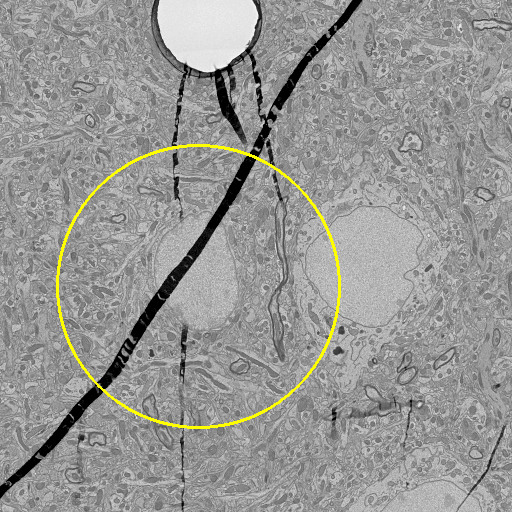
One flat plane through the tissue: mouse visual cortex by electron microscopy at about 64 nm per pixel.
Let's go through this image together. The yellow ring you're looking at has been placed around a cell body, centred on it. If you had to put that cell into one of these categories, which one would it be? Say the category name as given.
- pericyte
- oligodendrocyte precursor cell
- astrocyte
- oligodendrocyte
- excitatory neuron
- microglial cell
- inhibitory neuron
astrocyte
